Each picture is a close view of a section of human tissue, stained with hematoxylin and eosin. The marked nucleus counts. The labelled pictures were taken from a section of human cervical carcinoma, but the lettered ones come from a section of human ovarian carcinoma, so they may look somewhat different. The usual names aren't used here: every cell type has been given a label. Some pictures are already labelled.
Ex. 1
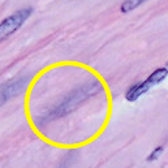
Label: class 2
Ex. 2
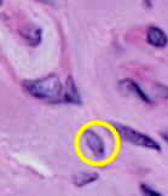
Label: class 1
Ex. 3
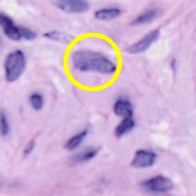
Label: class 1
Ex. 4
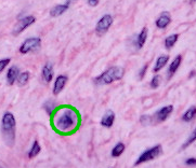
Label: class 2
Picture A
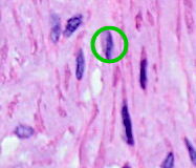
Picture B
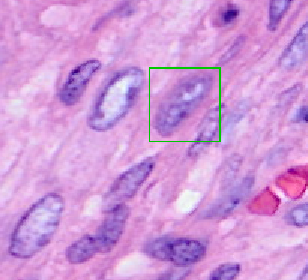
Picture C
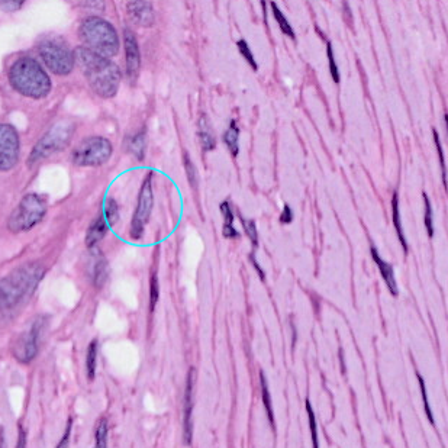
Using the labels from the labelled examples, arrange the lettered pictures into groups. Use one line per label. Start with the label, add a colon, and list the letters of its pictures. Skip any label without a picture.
class 1: A, B, C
